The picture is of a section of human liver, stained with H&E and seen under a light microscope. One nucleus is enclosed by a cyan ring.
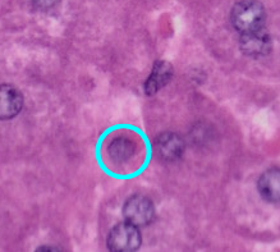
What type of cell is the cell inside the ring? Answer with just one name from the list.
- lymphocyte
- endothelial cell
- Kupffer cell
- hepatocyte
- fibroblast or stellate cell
Kupffer cell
